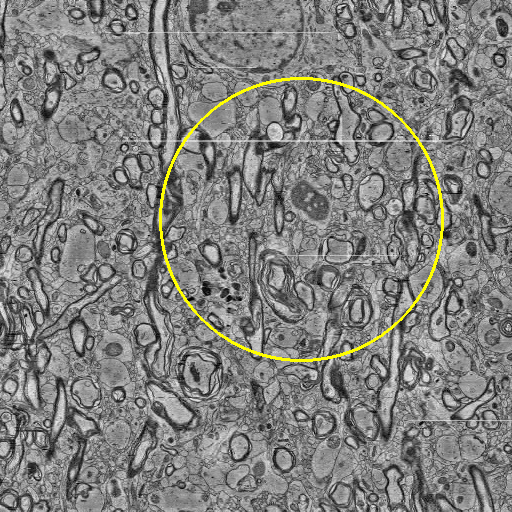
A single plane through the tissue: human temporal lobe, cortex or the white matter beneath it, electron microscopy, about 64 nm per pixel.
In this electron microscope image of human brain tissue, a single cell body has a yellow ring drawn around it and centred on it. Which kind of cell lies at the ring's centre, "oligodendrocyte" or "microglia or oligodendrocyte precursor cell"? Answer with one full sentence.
It is a microglial cell or oligodendrocyte precursor cell whose cell body lies at the centre of the yellow ring here.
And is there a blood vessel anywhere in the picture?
No, no blood vessel shows in the picture.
